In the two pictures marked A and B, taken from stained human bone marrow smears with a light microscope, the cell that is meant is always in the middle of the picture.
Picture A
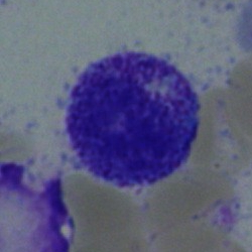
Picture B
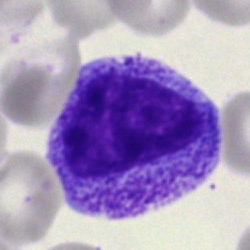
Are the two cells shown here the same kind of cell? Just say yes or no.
yes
